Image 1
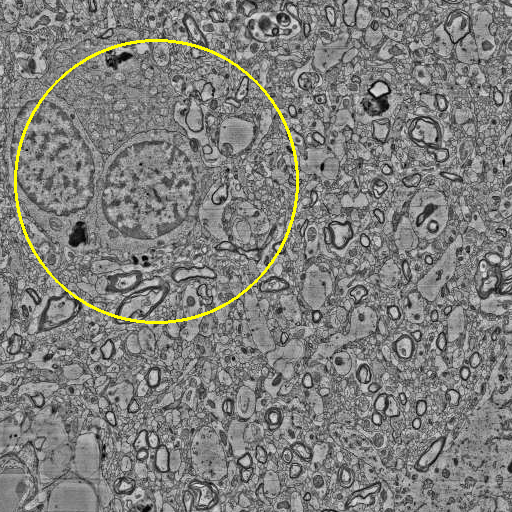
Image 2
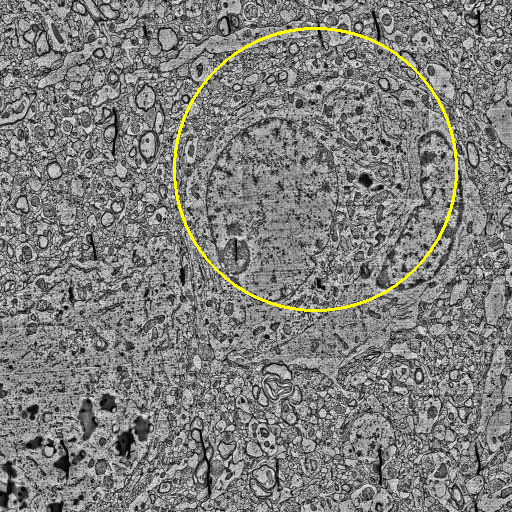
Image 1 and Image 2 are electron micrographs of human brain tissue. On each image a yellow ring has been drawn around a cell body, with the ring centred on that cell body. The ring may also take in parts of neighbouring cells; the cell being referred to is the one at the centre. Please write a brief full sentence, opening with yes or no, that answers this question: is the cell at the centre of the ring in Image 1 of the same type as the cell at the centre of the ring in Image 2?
No, the two cells are of two types.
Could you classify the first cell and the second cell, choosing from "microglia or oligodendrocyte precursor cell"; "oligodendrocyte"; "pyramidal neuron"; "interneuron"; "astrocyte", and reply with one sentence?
The second cell is an interneuron, while the first is an oligodendrocyte.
